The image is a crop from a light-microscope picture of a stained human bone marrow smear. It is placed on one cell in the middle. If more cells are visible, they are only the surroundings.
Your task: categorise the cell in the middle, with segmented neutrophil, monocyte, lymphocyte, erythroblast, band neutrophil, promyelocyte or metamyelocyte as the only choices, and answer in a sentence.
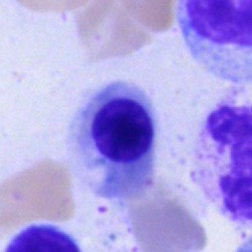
Where the crop is centred, there is an erythroblast.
